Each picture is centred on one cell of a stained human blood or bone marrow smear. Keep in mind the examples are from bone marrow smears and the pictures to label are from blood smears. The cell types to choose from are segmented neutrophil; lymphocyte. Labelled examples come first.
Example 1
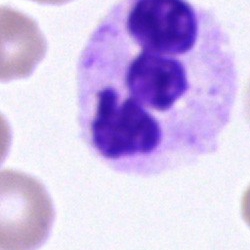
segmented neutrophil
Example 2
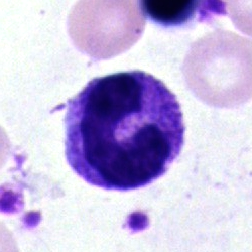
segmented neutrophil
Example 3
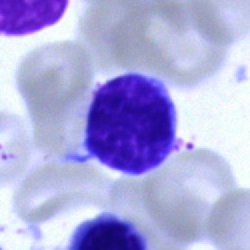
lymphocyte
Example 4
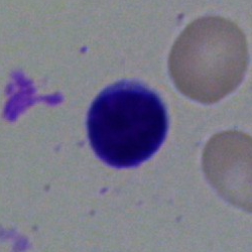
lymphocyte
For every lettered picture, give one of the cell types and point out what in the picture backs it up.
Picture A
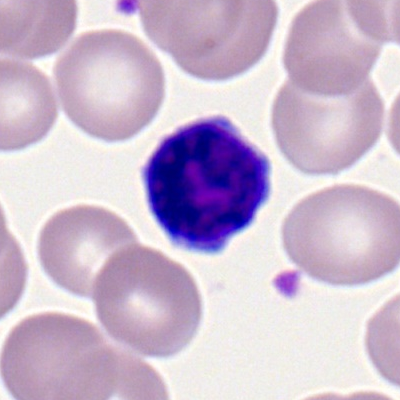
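lymphocyte. Reason: Only a very thin rim of cytoplasm shows, mainly at the upper and lower edges.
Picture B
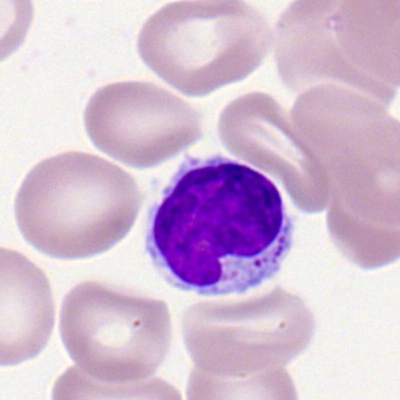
lymphocyte. Reason: The nucleus fills most of the cell.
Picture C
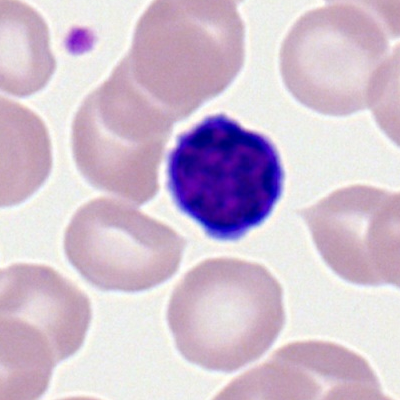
lymphocyte. Reason: Cytoplasm is scant, showing at most as a very thin rim at the edge.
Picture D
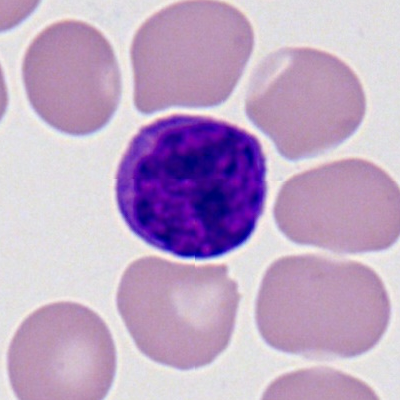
lymphocyte. Reason: The cytoplasm is only a thin rim around the nucleus.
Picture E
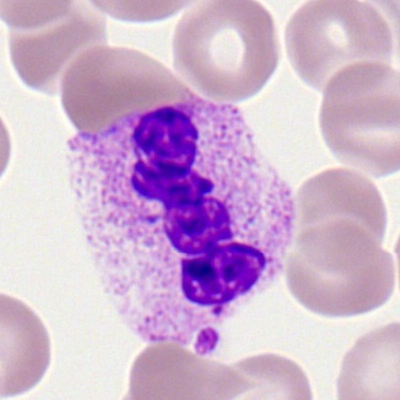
segmented neutrophil. Reason: The cytoplasm is plentiful and pale pinkish-lilac.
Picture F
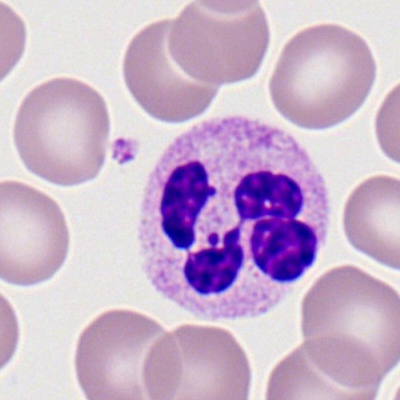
segmented neutrophil. Reason: The nucleus is divided into several separate lobes.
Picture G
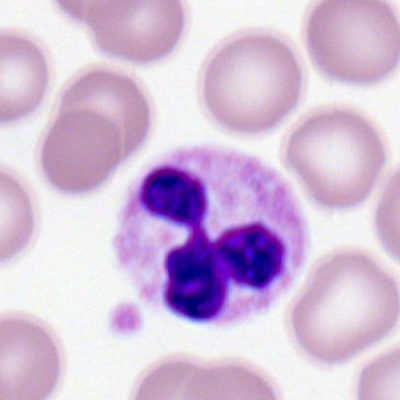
segmented neutrophil. Reason: The nucleus is divided into three lobes.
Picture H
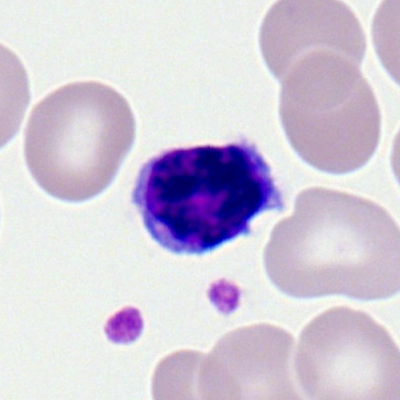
lymphocyte. Reason: The cytoplasm is a scant pale blue rim around the nucleus.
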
